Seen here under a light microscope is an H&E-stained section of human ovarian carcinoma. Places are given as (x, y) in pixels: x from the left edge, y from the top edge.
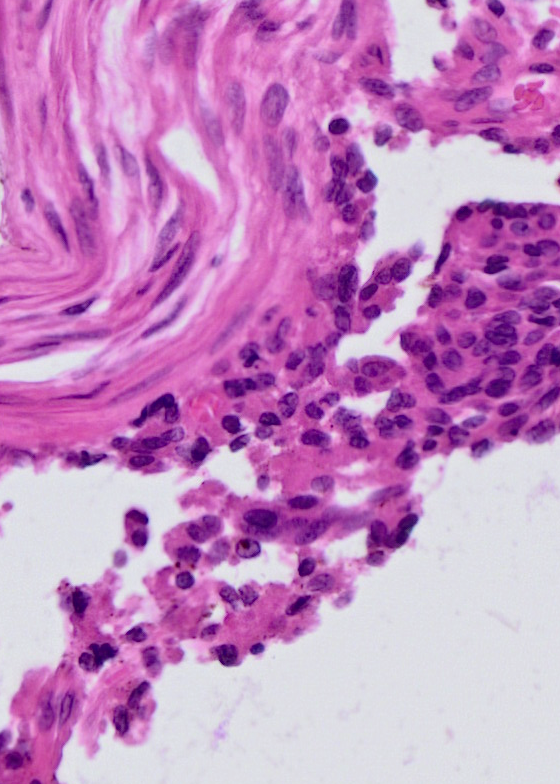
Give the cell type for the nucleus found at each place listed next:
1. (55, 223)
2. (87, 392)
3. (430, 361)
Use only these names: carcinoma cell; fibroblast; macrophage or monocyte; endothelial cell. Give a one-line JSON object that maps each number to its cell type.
{"1": "fibroblast", "2": "fibroblast", "3": "carcinoma cell"}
